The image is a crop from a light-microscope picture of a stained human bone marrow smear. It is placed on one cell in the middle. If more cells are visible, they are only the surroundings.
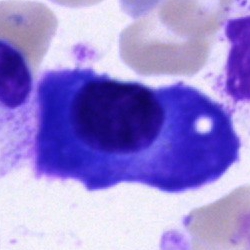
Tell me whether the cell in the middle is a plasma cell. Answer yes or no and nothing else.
yes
